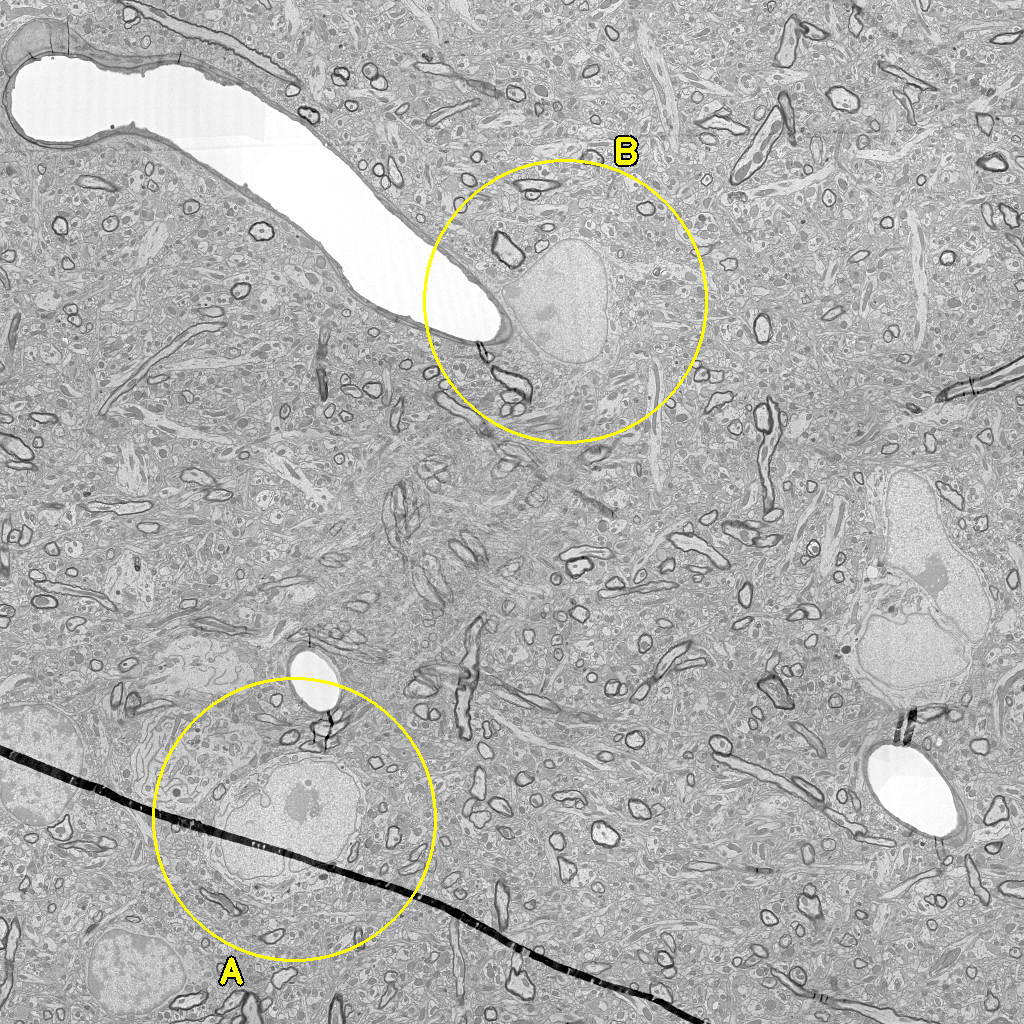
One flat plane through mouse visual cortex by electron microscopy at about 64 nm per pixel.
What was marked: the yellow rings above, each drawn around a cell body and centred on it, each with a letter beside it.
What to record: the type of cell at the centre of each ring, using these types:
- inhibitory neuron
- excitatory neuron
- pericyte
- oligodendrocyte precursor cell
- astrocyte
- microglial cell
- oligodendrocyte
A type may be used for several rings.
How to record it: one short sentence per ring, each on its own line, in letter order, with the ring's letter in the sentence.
Centred in ring A is an inhibitory neuron.
Centred in ring B is an astrocyte.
